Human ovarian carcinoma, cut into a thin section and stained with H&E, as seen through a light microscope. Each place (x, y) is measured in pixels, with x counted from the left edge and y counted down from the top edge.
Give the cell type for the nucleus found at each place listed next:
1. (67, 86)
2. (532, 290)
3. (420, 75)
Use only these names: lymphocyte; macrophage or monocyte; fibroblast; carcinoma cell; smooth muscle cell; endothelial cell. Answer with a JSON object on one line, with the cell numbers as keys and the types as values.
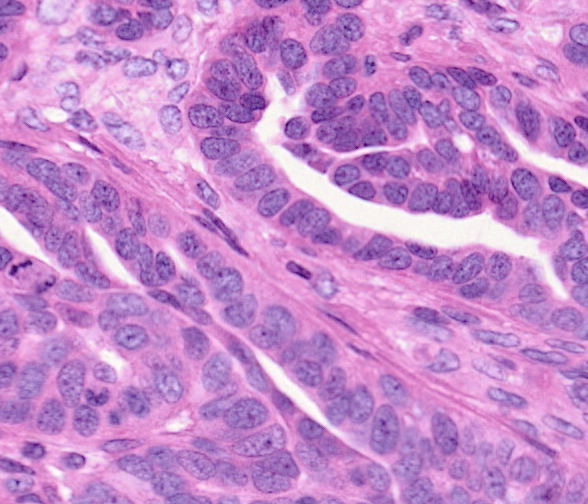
{"1": "fibroblast", "2": "carcinoma cell", "3": "carcinoma cell"}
